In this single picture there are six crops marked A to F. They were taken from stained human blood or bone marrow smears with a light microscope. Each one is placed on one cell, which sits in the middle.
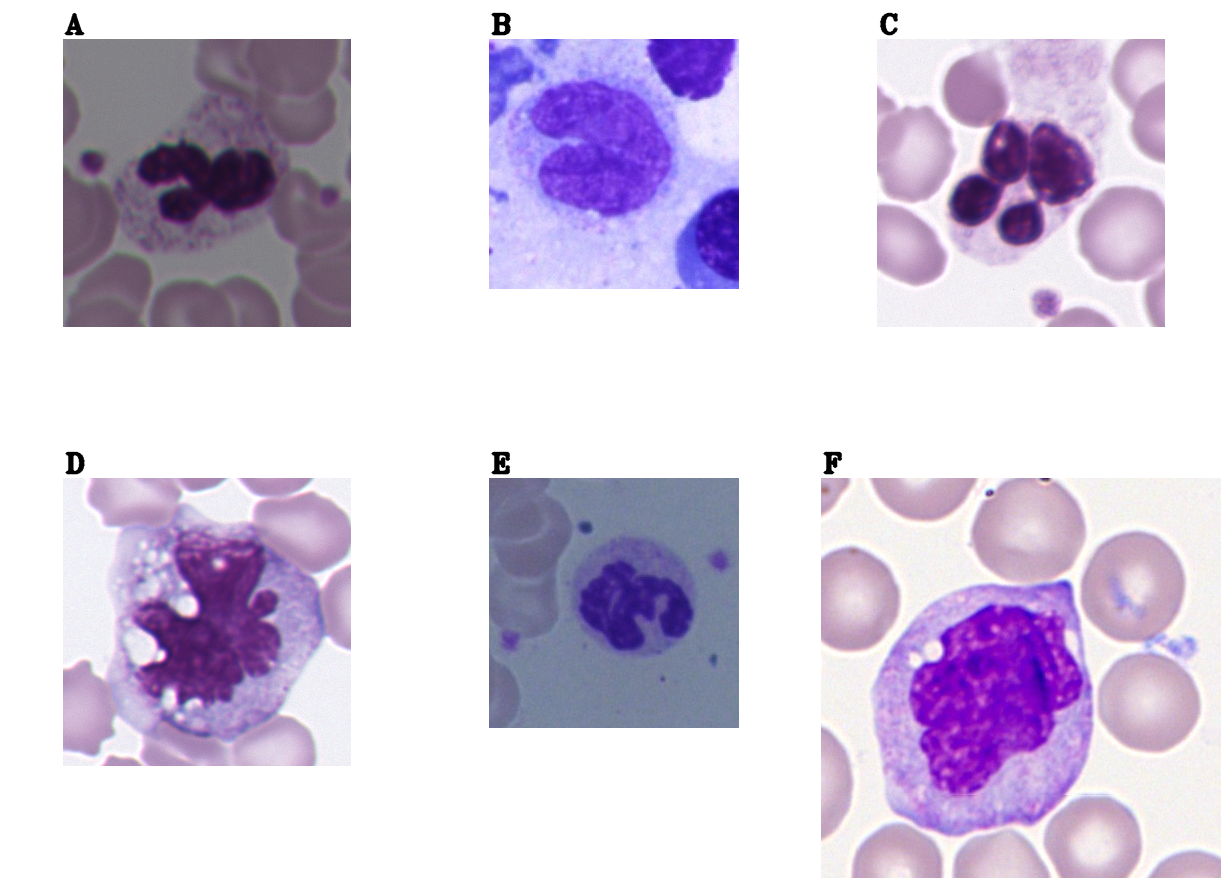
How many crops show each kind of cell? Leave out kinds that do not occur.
neutrophil: 3
monocyte: 3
